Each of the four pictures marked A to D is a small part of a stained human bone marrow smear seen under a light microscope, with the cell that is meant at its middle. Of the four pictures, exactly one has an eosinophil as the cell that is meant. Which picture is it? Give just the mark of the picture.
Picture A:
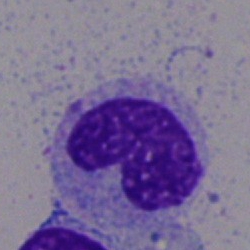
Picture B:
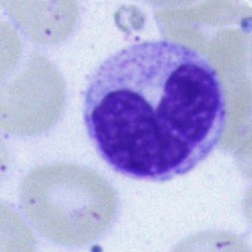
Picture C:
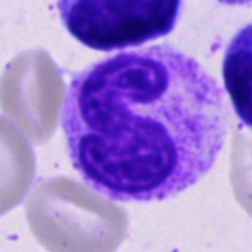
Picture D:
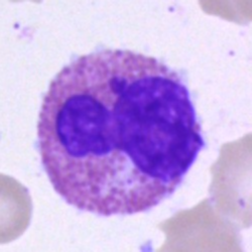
D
